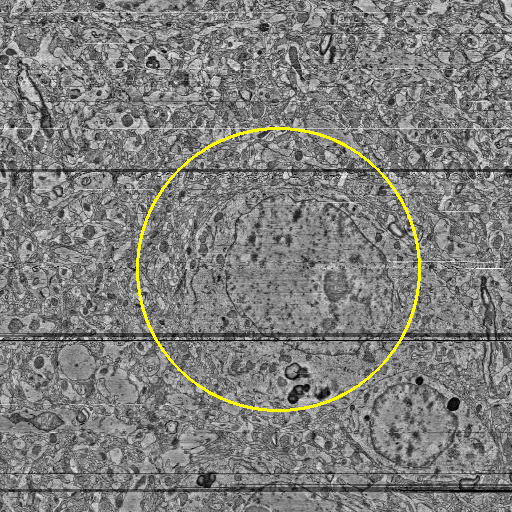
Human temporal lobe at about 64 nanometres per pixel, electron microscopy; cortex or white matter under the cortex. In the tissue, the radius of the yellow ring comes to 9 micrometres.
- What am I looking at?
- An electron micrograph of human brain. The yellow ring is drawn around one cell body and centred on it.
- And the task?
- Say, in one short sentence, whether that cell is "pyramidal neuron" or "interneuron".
The cell in the middle of the ring is a pyramidal neuron.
